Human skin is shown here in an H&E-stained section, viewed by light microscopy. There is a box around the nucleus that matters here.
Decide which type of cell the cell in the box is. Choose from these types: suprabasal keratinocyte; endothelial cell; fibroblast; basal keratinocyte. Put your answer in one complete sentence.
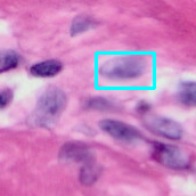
The cell meant here is a fibroblast.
